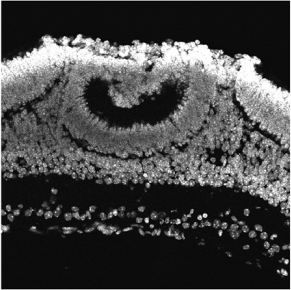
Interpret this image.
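This is a retinal section in which only the nuclei glow white. At the top, a broad band of densely packed small nuclei is thrown up into folds and bulges, and in the middle it curves into a ring around a dark empty centre, instead of running flat. Deeper down, a dark gap of fibres without nuclei separates it from a lower row of scattered nuclei. The orderly stacking of parallel nuclear layers seen in a normal retina is disturbed.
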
